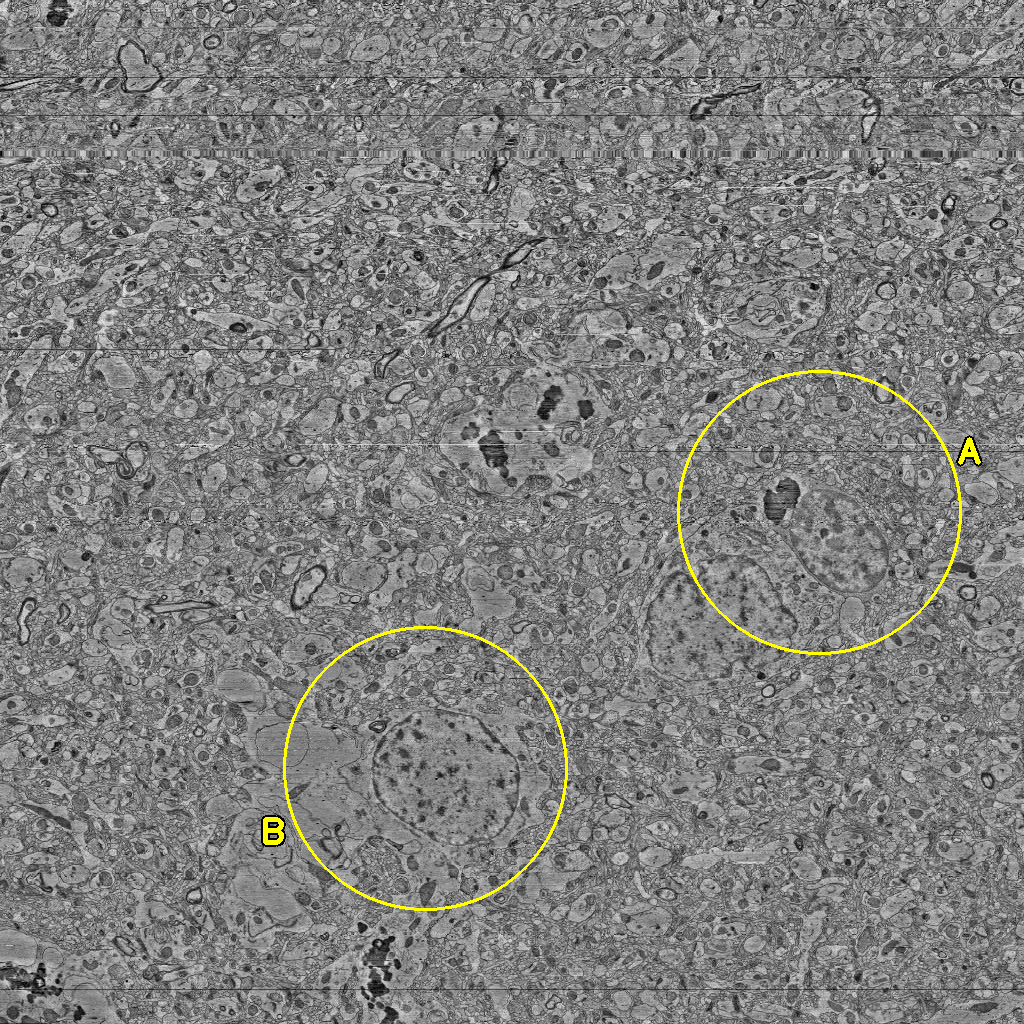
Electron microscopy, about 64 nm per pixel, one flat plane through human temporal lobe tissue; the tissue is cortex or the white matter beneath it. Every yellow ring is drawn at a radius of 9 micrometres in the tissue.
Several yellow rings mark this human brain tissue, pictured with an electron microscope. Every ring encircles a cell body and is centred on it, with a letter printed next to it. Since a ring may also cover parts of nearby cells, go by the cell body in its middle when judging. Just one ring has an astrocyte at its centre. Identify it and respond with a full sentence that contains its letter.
The answer is ring B, whose centre rests on the cell asked for.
